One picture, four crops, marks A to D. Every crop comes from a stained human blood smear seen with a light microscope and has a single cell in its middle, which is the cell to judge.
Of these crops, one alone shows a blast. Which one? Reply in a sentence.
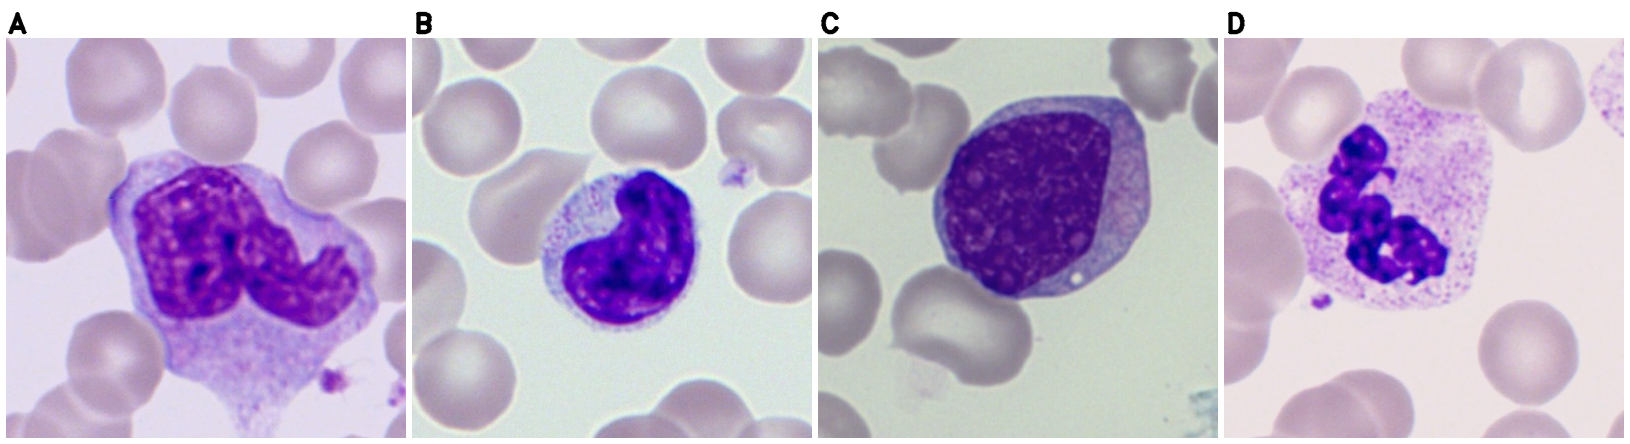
Crop C represents a blast, while the other crops do not.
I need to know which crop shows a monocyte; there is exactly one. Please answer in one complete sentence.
The crop that has a monocyte in the middle is crop A.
